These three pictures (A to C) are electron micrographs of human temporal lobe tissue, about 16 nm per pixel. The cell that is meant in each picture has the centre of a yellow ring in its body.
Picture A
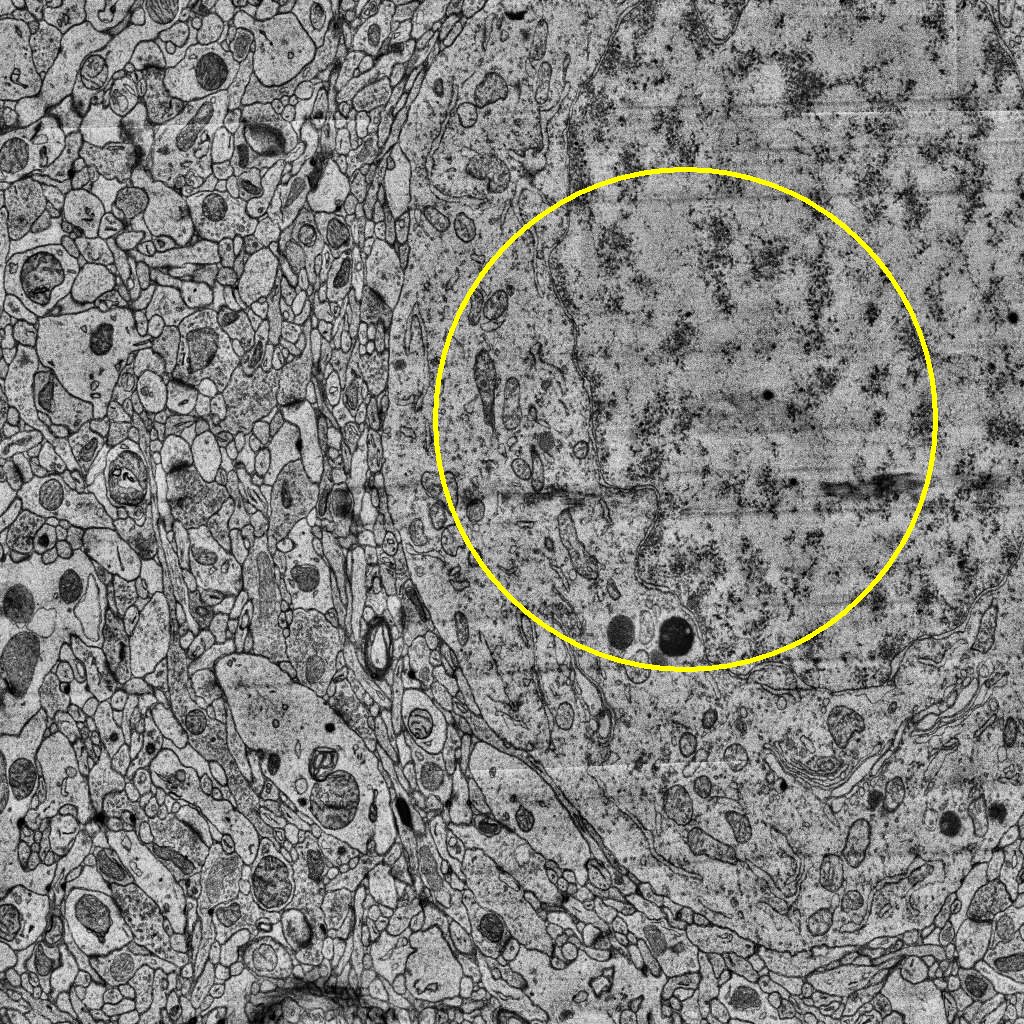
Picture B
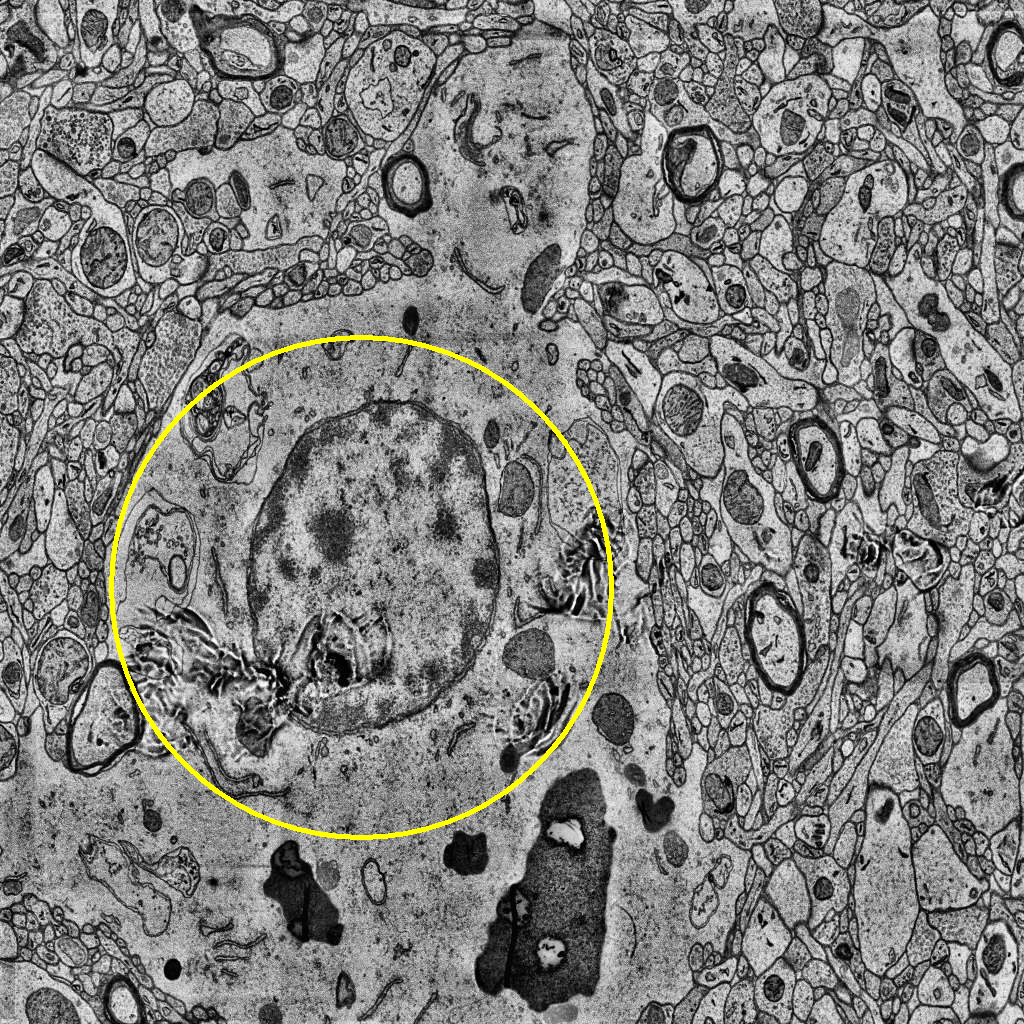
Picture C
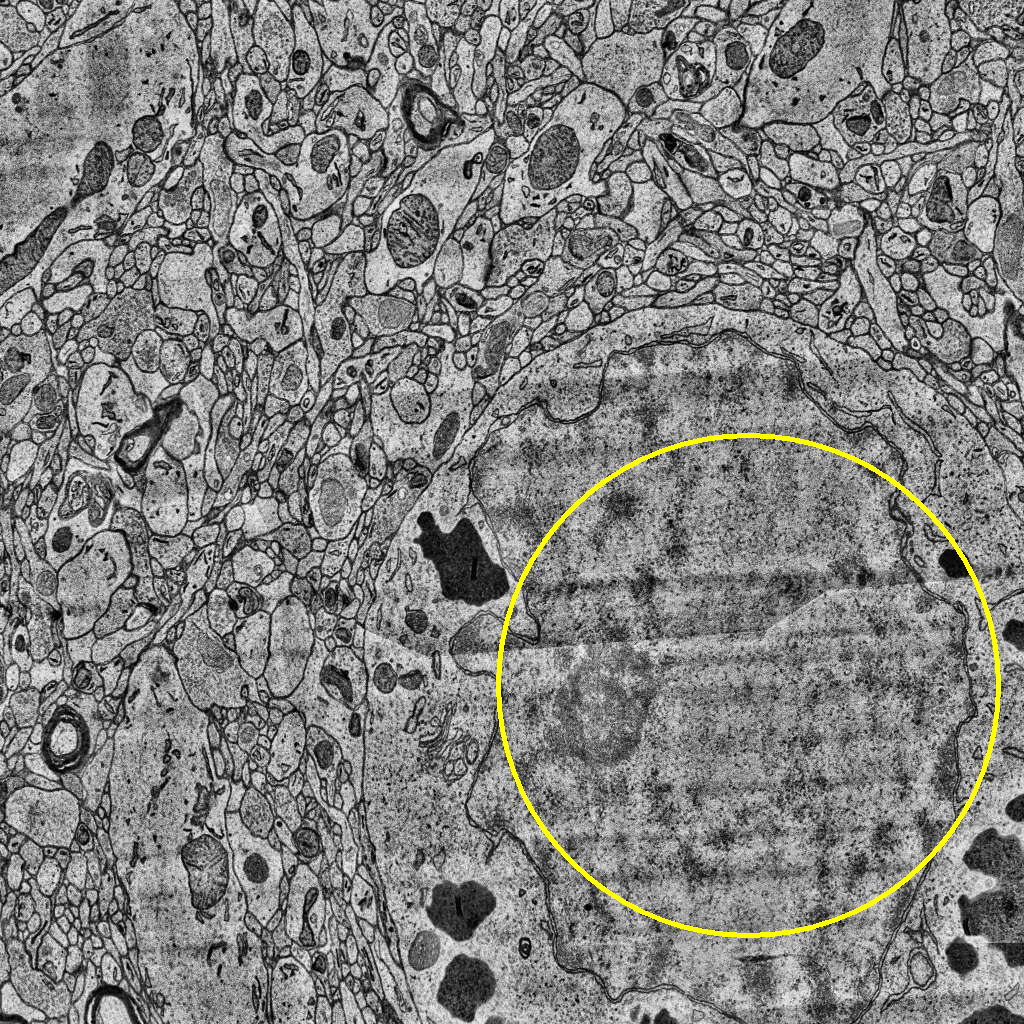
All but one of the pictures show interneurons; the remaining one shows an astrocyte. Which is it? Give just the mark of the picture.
B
